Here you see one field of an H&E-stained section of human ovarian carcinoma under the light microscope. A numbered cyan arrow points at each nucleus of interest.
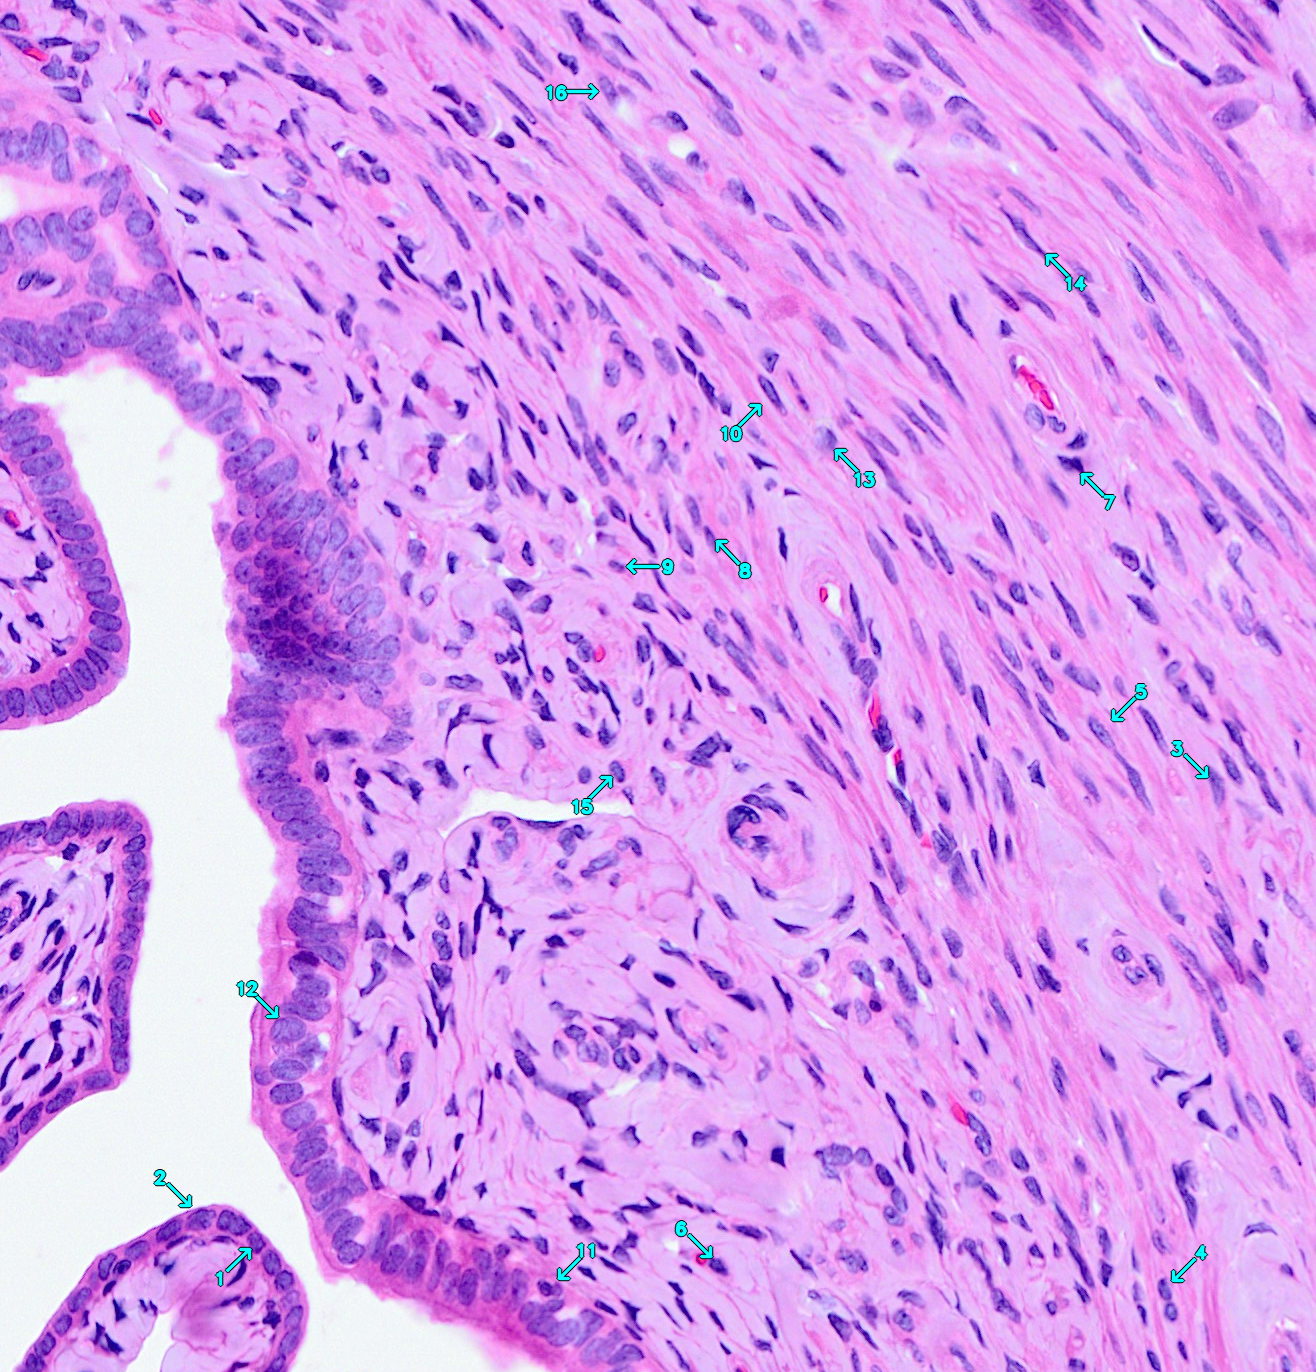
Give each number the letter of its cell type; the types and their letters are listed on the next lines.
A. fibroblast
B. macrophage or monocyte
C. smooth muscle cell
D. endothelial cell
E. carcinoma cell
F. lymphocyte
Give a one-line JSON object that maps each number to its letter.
{"1": "E", "2": "E", "3": "C", "4": "C", "5": "C", "6": "D", "7": "A", "8": "C", "9": "C", "10": "C", "11": "F", "12": "E", "13": "A", "14": "C", "15": "C", "16": "C"}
